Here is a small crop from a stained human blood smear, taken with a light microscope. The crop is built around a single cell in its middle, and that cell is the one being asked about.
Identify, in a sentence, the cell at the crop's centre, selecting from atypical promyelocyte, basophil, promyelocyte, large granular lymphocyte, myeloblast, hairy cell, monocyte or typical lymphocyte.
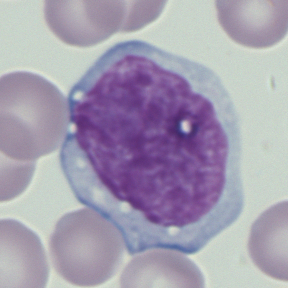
The cell of interest, in the center, is a myeloblast.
